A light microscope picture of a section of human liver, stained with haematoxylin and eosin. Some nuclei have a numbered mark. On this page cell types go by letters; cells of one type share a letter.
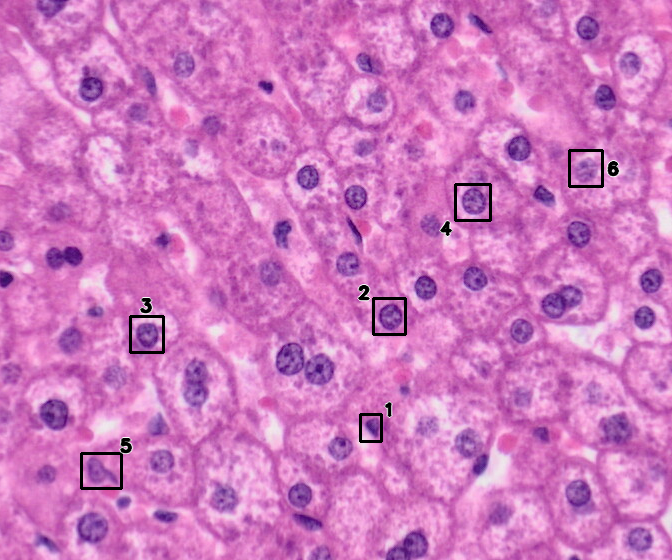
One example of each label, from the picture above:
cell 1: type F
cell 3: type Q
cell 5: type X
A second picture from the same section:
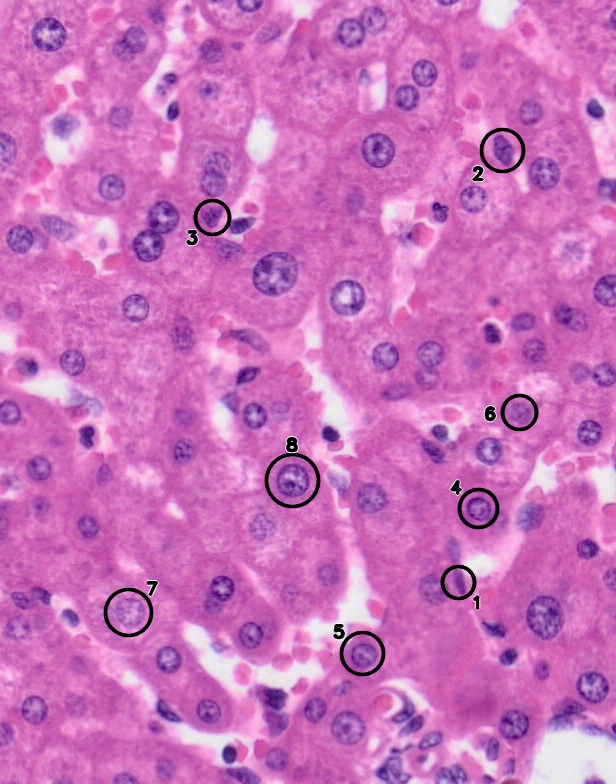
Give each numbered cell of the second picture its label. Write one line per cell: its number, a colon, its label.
1: type F
2: type X
3: type F
4: type Q
5: type Q
6: type Q
7: type Q
8: type Q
